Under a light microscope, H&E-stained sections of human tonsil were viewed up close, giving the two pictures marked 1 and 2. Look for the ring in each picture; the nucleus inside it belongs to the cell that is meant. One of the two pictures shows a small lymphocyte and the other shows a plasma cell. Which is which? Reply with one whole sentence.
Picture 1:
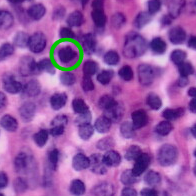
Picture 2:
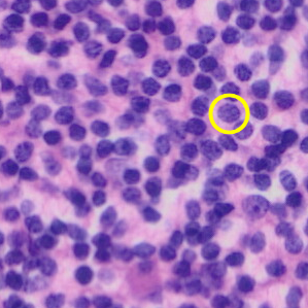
Picture 1 shows a plasma cell and picture 2 shows a small lymphocyte.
